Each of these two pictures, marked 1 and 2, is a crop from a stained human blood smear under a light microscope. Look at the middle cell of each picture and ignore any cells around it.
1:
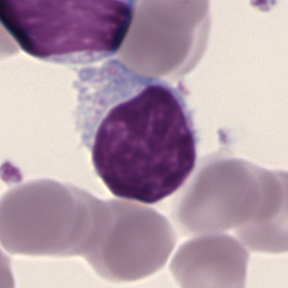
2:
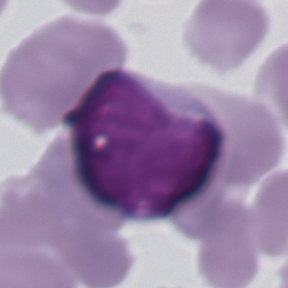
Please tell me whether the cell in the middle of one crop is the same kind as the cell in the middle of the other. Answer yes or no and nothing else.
no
